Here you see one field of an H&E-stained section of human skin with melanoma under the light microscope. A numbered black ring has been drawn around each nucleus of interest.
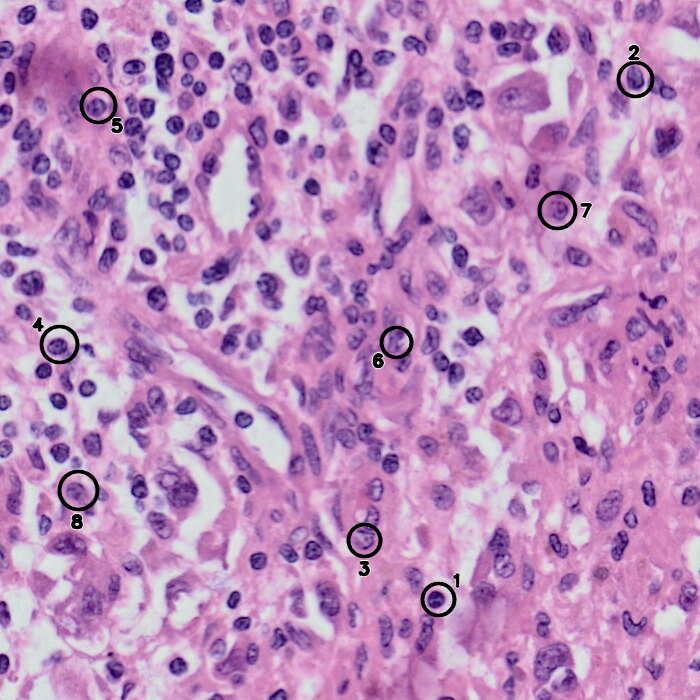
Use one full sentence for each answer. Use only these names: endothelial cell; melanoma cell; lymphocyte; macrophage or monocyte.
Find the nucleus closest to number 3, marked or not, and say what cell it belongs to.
It is an endothelial cell whose nucleus is nearest to number 3.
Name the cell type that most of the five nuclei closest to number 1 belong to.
Most of the five nuclei nearest to number 1 are those of macrophages or monocytes.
